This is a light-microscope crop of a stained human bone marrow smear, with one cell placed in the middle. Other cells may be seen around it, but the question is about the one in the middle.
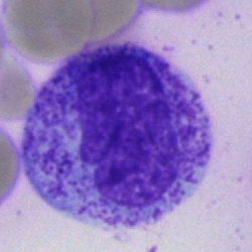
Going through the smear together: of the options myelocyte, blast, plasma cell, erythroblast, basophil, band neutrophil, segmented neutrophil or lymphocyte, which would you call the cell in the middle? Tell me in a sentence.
Located at the centre of the crop is a myelocyte.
